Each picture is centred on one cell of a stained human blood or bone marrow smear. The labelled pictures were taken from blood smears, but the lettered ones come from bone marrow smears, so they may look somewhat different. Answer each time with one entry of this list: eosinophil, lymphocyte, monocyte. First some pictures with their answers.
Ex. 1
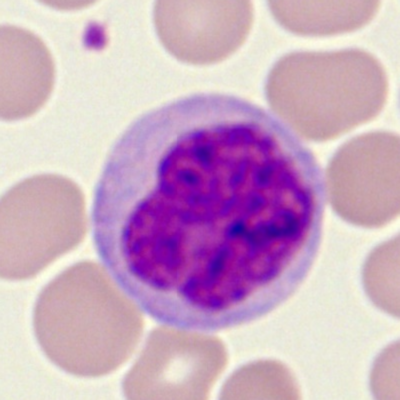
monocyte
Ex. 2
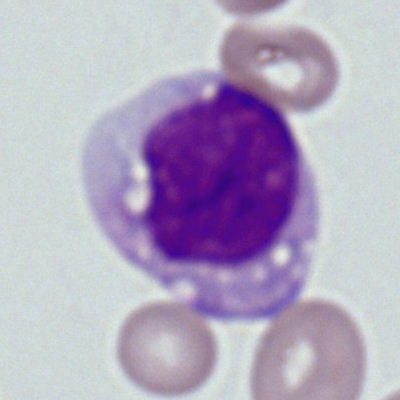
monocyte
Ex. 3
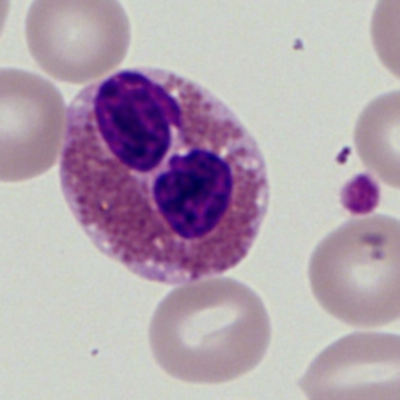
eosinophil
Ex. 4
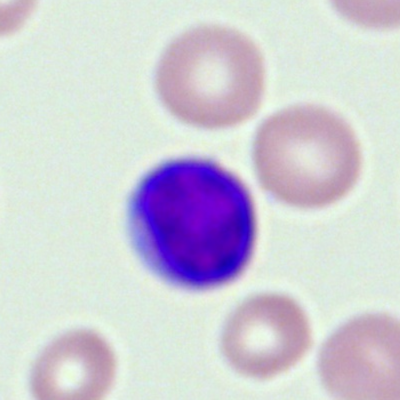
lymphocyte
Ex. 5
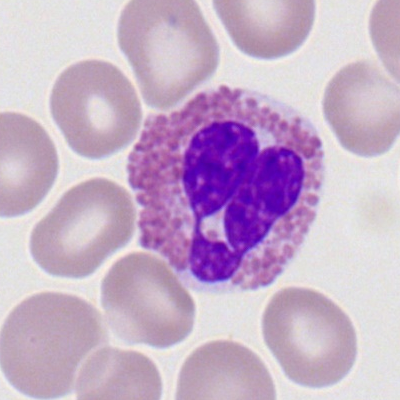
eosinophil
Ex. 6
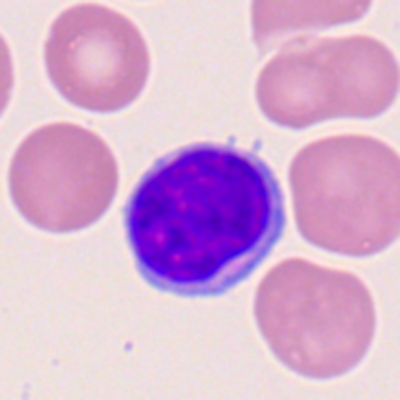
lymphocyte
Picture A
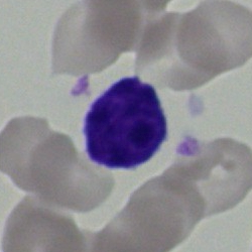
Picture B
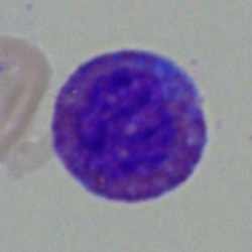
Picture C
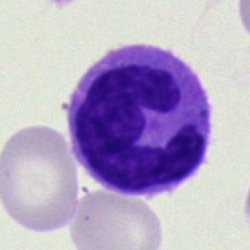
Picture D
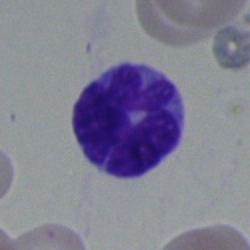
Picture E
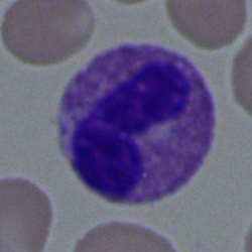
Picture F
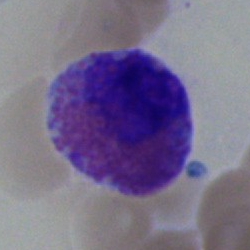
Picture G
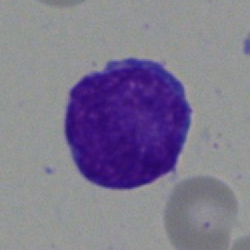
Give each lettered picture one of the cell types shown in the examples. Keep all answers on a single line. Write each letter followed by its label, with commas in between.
A lymphocyte, B eosinophil, C monocyte, D monocyte, E eosinophil, F eosinophil, G lymphocyte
